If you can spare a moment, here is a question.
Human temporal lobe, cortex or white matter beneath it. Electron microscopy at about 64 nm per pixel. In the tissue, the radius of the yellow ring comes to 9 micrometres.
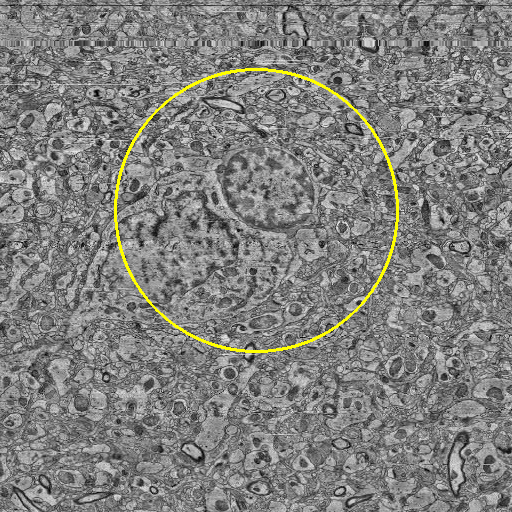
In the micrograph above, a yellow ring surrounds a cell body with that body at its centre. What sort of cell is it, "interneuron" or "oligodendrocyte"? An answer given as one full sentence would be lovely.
Centred inside the yellow ring, the cell body shown belongs to an oligodendrocyte in this micrograph.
